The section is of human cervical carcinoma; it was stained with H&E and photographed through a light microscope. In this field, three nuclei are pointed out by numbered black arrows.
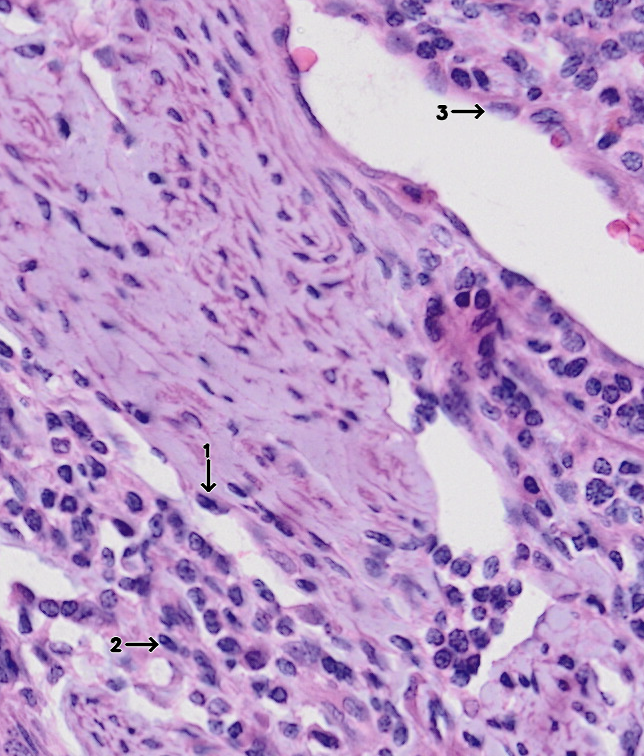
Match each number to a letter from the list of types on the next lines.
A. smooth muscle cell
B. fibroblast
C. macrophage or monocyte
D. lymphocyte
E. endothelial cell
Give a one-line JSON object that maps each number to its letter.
{"1": "D", "2": "D", "3": "E"}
